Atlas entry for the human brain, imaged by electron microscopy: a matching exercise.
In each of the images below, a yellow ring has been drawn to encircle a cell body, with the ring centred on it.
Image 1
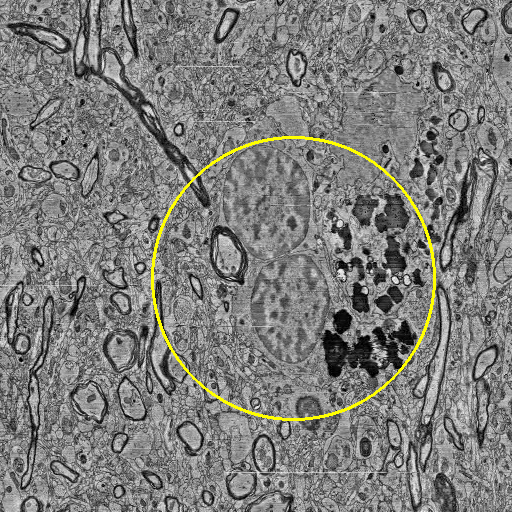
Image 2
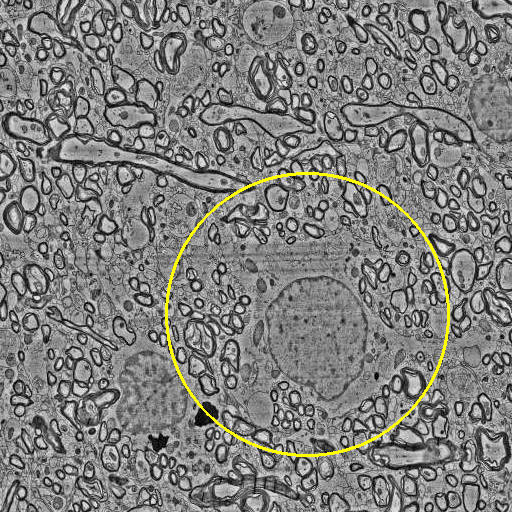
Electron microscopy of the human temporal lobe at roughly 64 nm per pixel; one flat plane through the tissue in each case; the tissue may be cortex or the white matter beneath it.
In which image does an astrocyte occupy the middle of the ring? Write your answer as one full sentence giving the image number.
In image 2, the ring is centred on the cell in question.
